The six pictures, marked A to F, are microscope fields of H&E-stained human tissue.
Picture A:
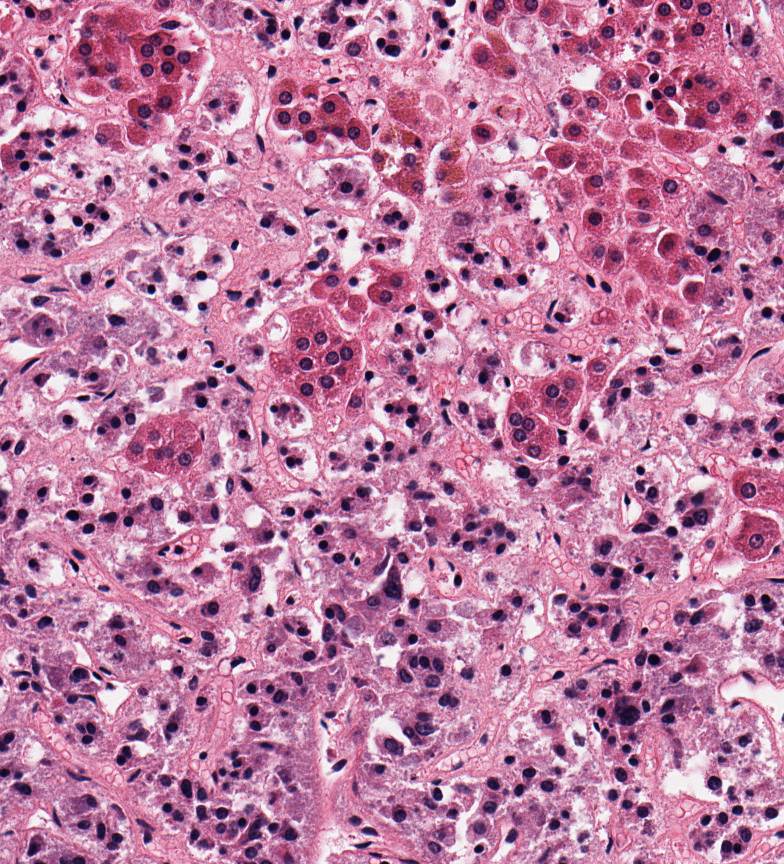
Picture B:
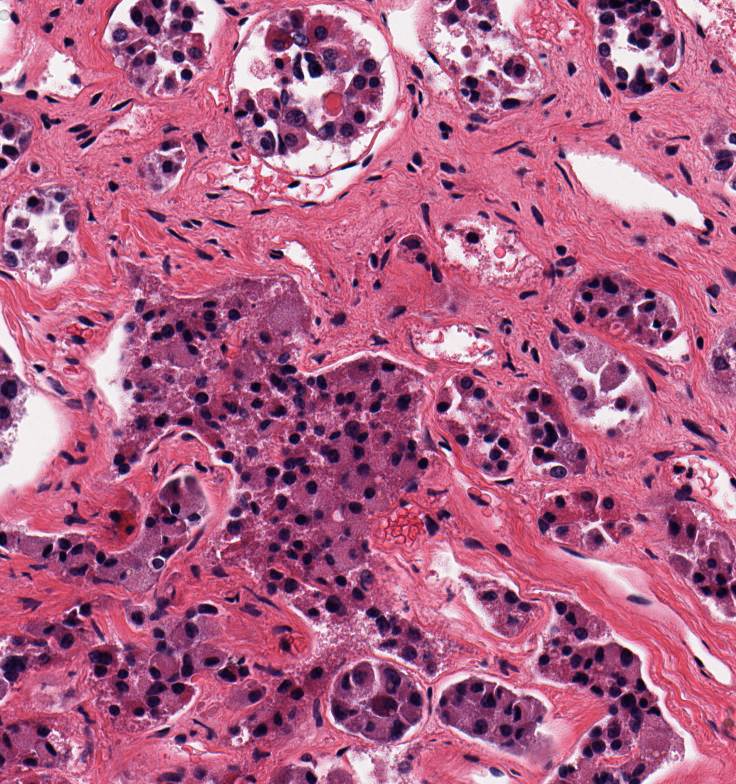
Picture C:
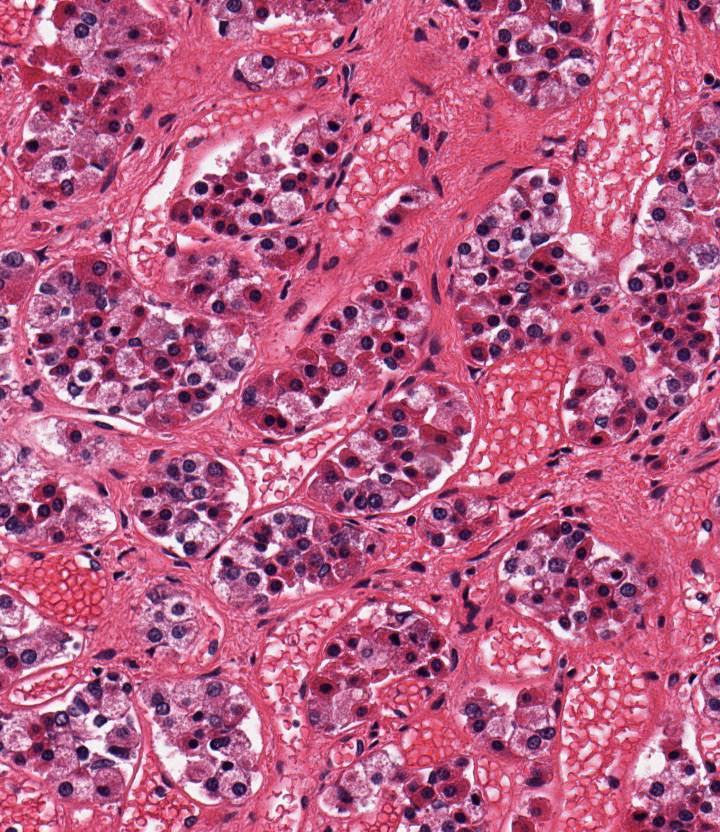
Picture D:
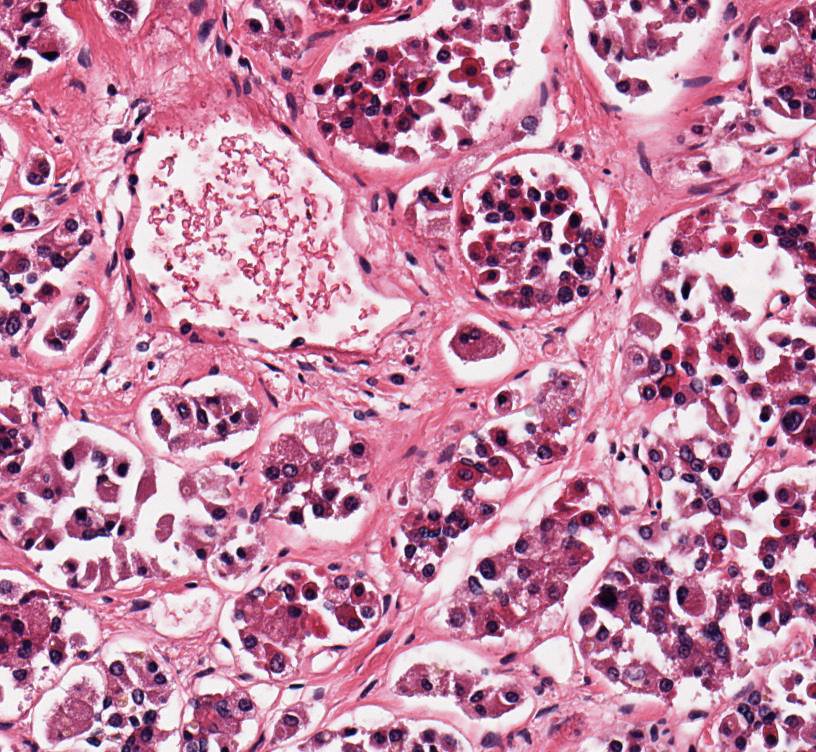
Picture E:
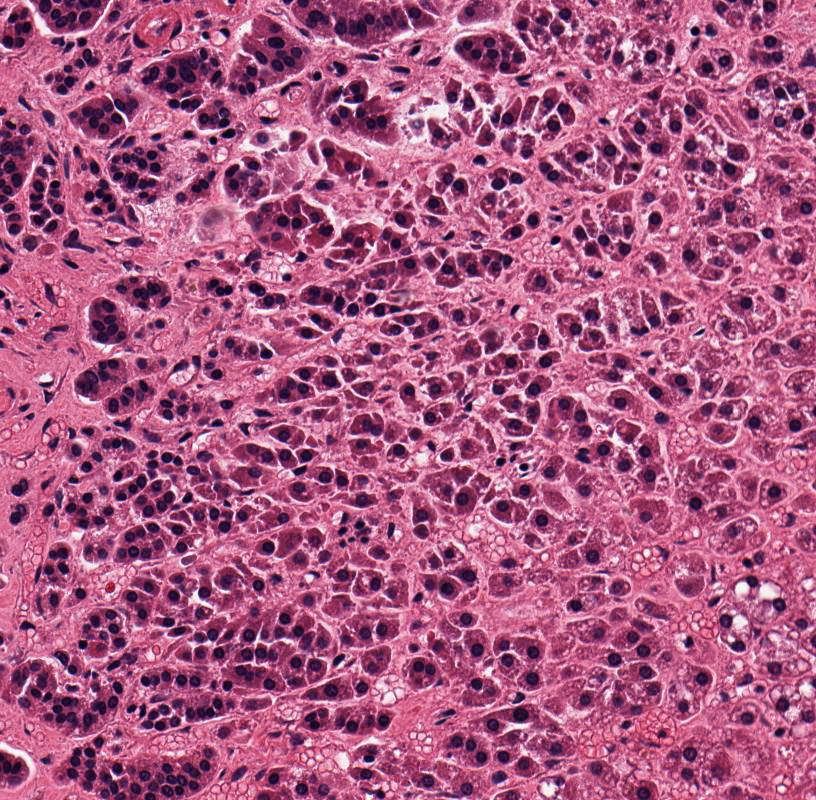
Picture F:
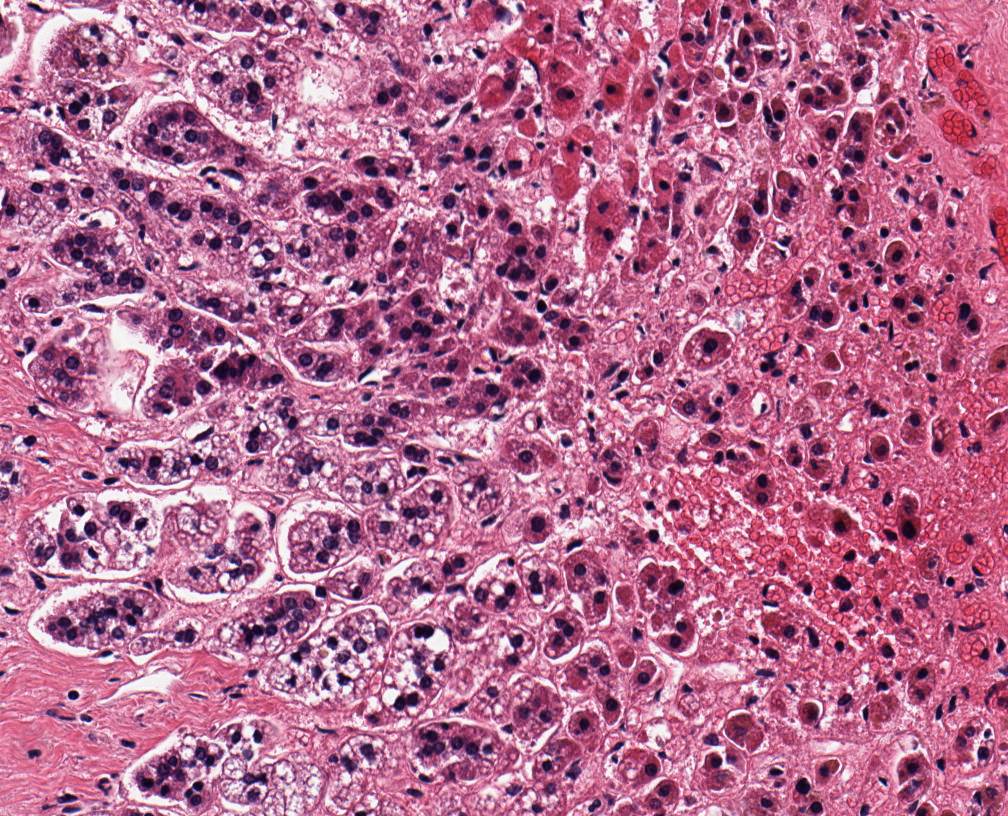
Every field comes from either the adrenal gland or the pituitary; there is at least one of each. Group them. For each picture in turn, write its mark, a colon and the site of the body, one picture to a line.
A: adrenal gland
B: pituitary
C: pituitary
D: pituitary
E: adrenal gland
F: adrenal gland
